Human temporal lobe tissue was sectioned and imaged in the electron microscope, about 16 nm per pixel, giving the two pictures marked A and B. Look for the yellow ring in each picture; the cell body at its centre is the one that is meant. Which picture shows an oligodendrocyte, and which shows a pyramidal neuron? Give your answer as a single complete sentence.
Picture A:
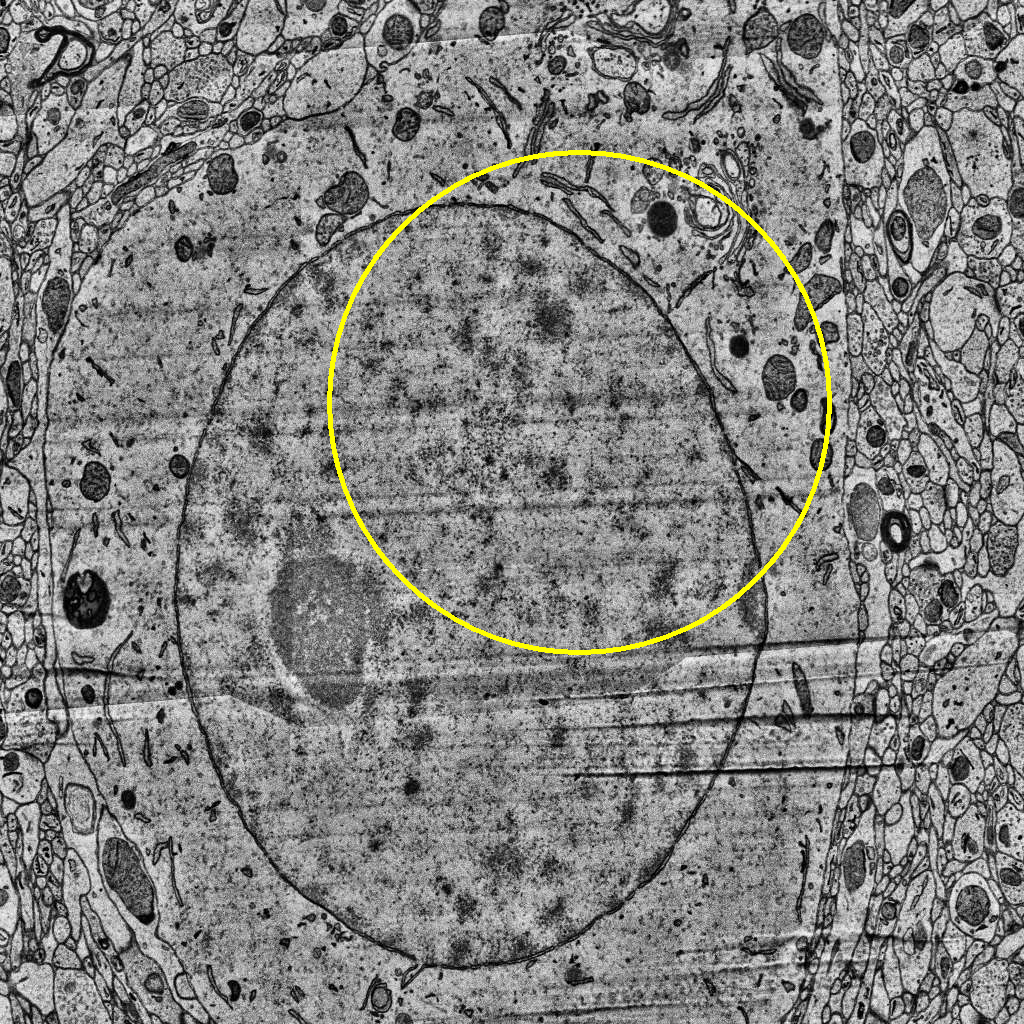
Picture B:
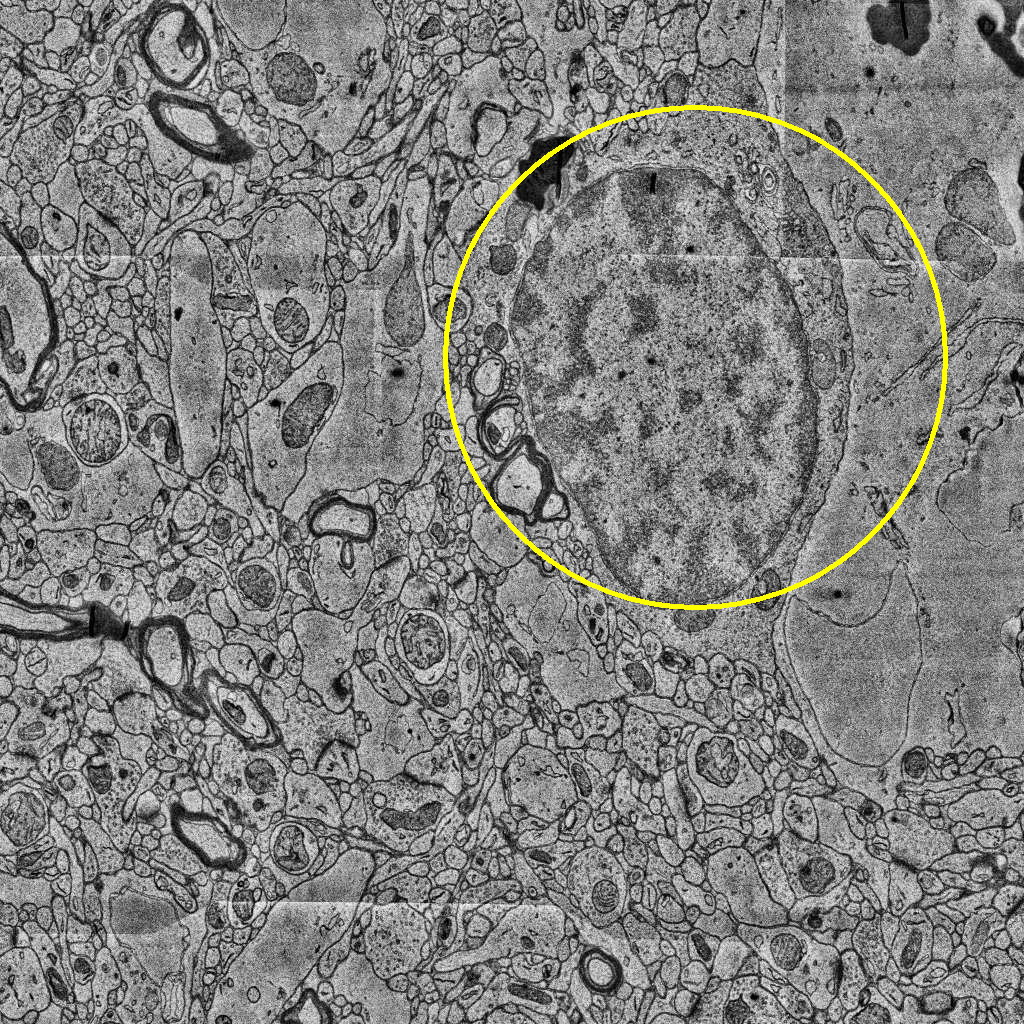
Picture A is of a pyramidal neuron, and picture B is of an oligodendrocyte.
